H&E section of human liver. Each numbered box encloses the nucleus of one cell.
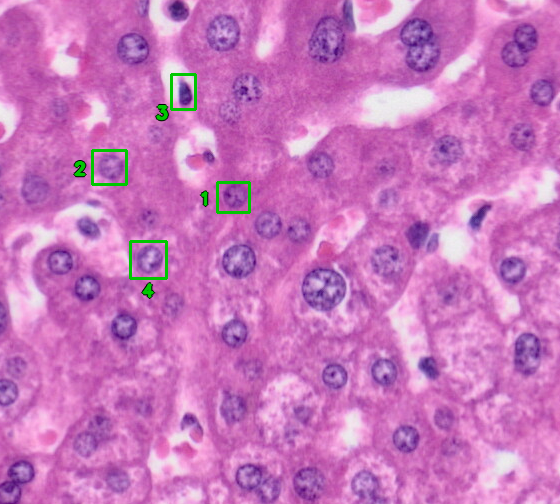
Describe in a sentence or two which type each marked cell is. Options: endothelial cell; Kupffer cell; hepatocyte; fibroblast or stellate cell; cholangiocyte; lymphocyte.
Cells 1, 2 and 4 are hepatocytes. Cell 3 is a lymphocyte.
